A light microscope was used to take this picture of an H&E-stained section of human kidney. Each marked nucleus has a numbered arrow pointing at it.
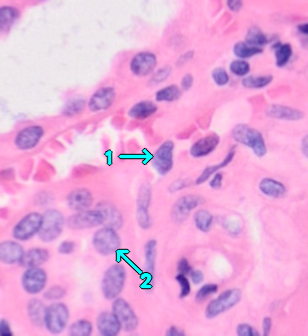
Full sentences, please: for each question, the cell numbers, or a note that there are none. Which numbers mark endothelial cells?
Among all the marked cells, an endothelial cell is found only at number 1.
